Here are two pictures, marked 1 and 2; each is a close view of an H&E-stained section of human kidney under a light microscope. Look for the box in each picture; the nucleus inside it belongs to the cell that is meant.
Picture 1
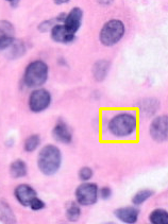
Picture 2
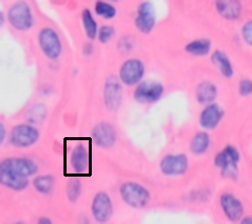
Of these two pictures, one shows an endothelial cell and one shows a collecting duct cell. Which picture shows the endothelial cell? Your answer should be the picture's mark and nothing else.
2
